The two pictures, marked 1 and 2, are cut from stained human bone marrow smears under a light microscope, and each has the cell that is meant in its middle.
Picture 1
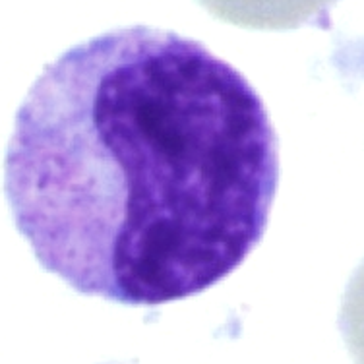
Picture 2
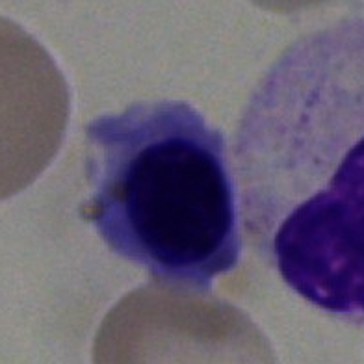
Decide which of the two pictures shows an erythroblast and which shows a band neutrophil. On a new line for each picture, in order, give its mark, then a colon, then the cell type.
1: band neutrophil
2: erythroblast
